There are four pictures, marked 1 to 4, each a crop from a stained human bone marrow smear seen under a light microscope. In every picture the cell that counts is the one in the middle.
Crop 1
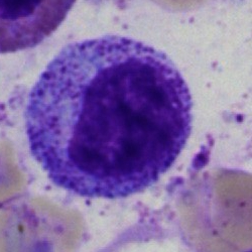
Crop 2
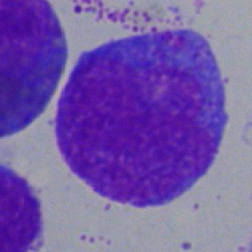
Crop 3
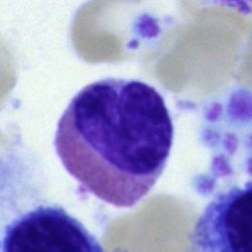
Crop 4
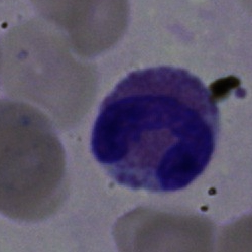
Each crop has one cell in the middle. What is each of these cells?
1: promyelocyte
2: promyelocyte
3: eosinophil
4: eosinophil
